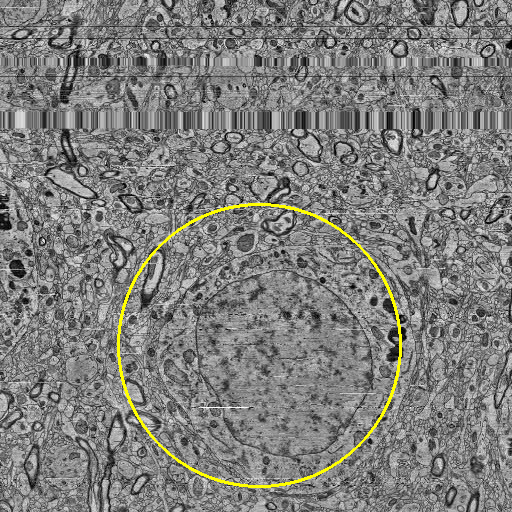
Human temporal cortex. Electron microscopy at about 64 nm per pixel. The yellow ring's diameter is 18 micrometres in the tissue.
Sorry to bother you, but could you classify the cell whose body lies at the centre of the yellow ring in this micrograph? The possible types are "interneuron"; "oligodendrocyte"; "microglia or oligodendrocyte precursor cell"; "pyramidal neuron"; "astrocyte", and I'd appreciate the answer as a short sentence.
The ringed cell body is that of a pyramidal neuron.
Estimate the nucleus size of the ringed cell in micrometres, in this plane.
The nucleus comes to roughly 12 by 11 micrometres in this plane.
